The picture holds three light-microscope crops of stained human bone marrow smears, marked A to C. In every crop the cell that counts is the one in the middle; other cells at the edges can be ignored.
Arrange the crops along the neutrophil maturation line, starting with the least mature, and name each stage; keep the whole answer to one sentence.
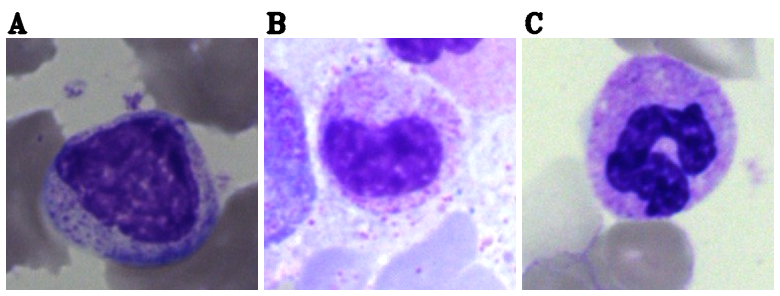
Ordered least to most mature, the series reads crop A (a myelocyte), crop B (a metamyelocyte) and crop C (a segmented neutrophil).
